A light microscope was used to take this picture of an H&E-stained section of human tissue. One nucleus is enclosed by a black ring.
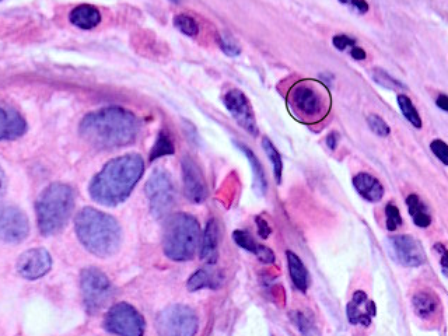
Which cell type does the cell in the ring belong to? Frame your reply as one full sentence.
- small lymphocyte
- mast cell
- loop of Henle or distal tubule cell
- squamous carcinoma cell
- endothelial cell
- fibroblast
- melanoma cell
In this field of tissue, the cell in the ring is a mast cell.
